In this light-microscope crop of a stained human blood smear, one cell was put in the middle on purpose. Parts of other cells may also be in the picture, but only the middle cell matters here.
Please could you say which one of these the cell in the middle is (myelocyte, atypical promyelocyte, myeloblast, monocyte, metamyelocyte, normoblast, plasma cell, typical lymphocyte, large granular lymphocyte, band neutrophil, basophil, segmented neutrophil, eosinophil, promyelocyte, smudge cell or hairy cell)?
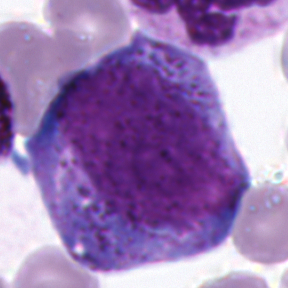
promyelocyte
